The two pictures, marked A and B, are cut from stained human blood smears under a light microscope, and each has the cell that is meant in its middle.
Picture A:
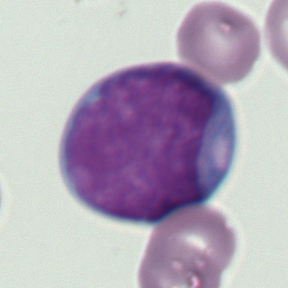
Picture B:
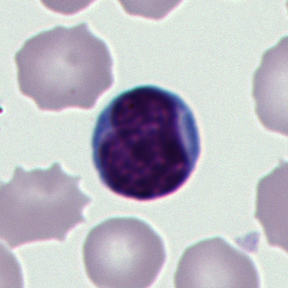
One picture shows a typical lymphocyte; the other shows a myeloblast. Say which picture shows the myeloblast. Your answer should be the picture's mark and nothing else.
A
